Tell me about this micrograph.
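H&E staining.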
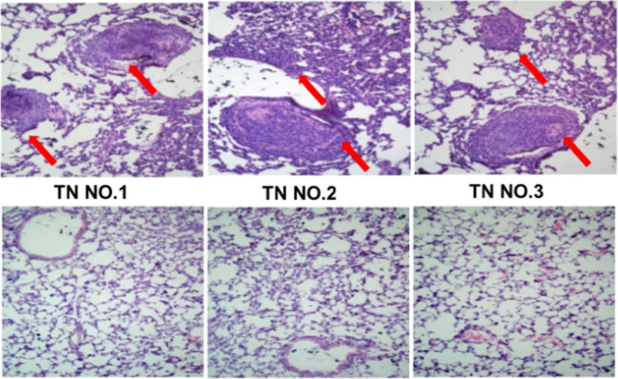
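In the upper row, several rounded, densely cellular nodules with crowded dark purple nuclei sit within the parenchyma, some beside larger airway or vessel lumens. The lower row shows only open alveolar meshwork with a few thicker-walled round lumens and some pink-red patches. No dense nodules appear in the lower row.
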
